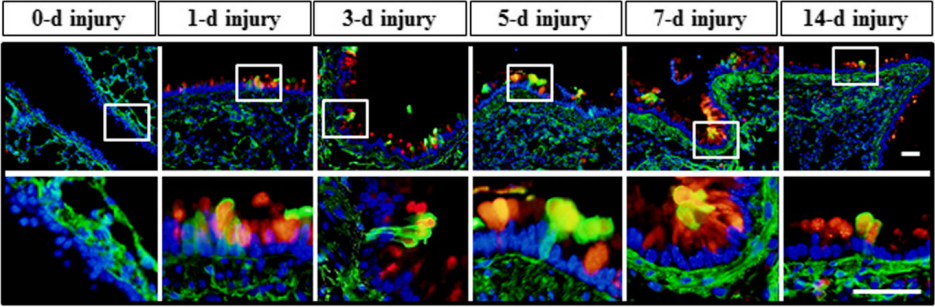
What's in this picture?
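These are sections of the airway lining in which goblet cells stand out among the epithelial cells. The goblet cells appear as rounded, swollen cells whose apical cytoplasm is filled with red material, bulging toward the lumen above the row of blue nuclei. Some of these cells also carry green, giving them a yellow to orange tone where the colours overlap. Beneath the epithelium, green threads of the underlying connective tissue outline the wall of the airway. The first image shows a thin lining with no red-filled cells.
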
